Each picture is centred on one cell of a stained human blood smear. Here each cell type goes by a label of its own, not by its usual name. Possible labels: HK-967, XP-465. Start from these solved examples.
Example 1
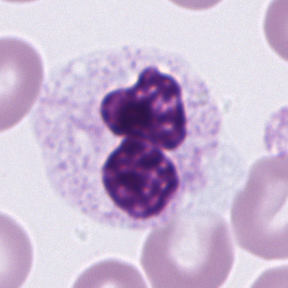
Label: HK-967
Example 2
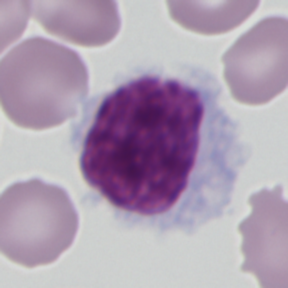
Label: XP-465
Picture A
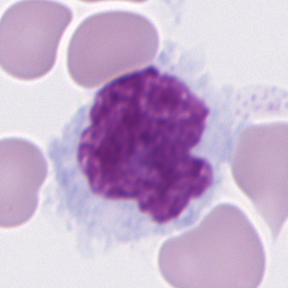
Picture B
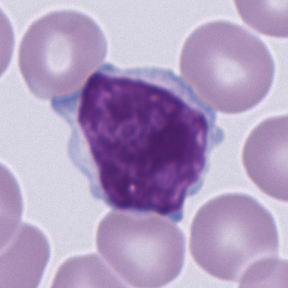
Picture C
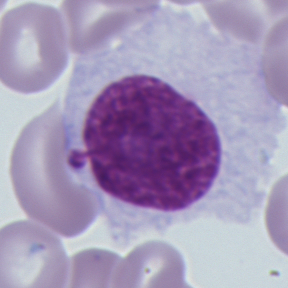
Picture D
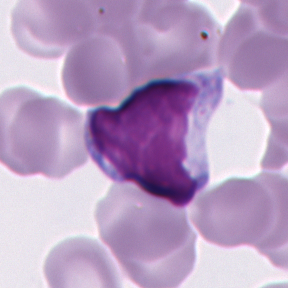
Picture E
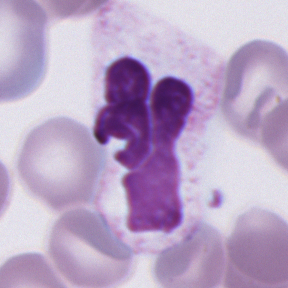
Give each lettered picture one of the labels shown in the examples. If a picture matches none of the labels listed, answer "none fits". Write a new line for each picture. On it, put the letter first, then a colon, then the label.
A: XP-465
B: none fits
C: XP-465
D: none fits
E: HK-967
